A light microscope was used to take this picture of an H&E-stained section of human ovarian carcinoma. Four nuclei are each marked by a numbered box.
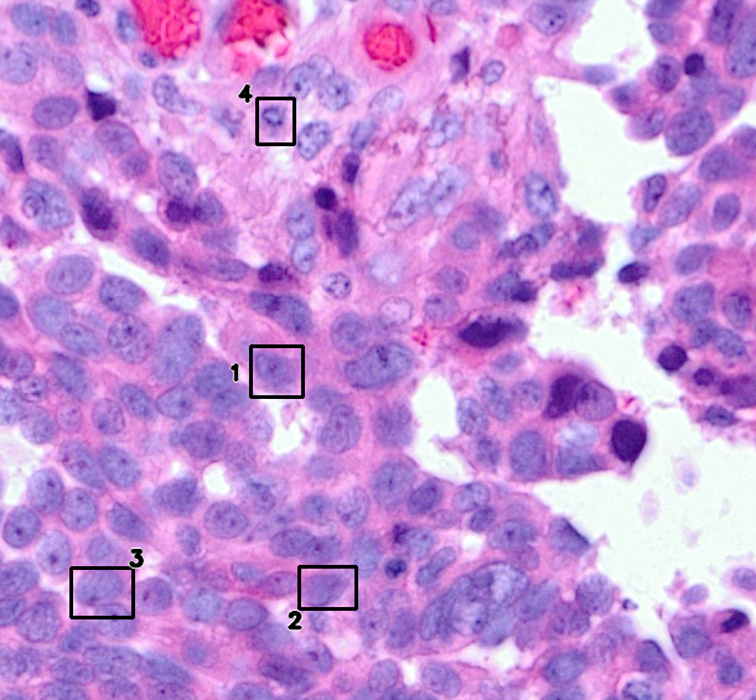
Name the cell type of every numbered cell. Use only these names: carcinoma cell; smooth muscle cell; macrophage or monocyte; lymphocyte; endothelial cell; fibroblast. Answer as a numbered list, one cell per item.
1. carcinoma cell
2. carcinoma cell
3. carcinoma cell
4. macrophage or monocyte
